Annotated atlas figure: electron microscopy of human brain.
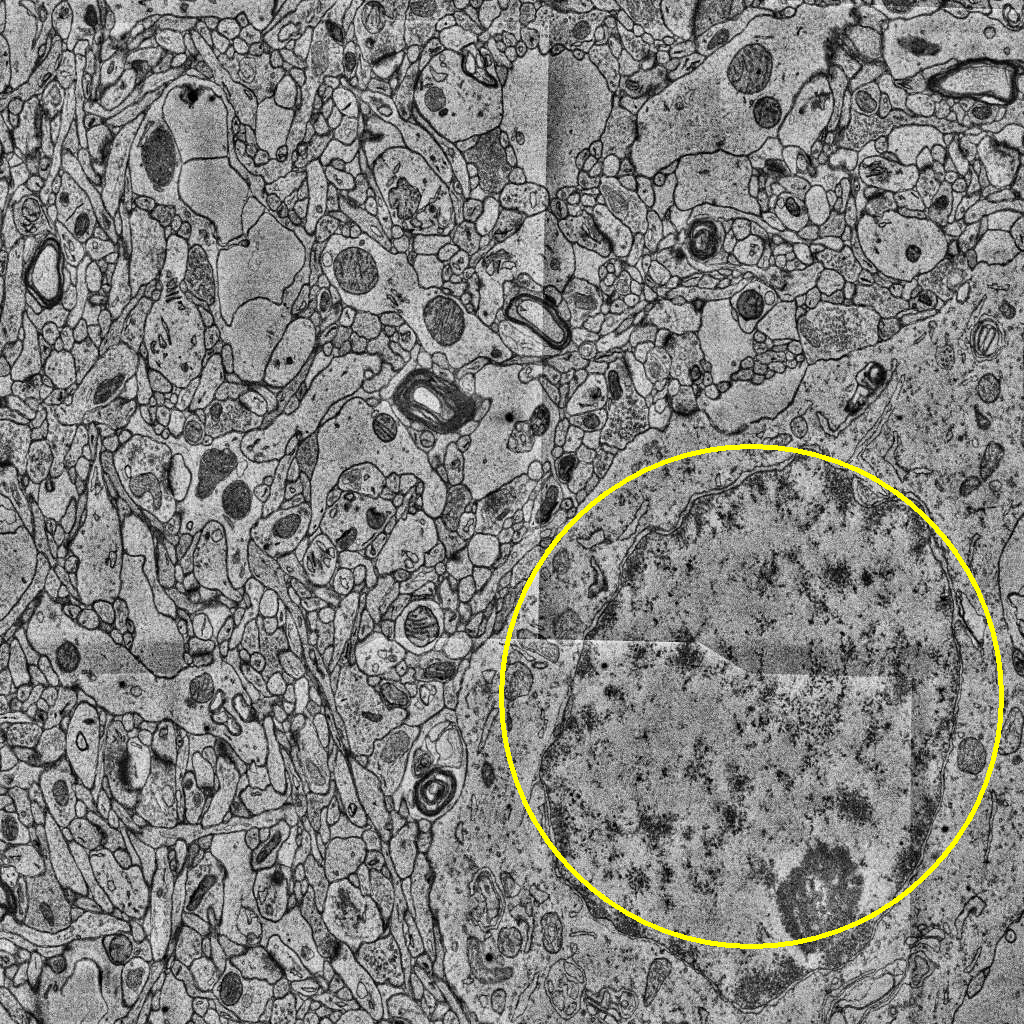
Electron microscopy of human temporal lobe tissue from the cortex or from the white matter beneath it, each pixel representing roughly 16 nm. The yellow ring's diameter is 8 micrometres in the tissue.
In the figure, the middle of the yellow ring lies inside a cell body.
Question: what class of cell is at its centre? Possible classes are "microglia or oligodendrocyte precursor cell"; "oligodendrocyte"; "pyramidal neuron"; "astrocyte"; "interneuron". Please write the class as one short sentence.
The yellow ring's centre lies in an interneuron.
